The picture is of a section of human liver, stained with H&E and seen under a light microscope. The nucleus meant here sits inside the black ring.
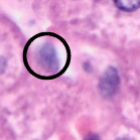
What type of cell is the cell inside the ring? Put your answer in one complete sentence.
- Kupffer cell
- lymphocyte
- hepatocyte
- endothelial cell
With respect to cell type, the cell inside the ring is an endothelial cell.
